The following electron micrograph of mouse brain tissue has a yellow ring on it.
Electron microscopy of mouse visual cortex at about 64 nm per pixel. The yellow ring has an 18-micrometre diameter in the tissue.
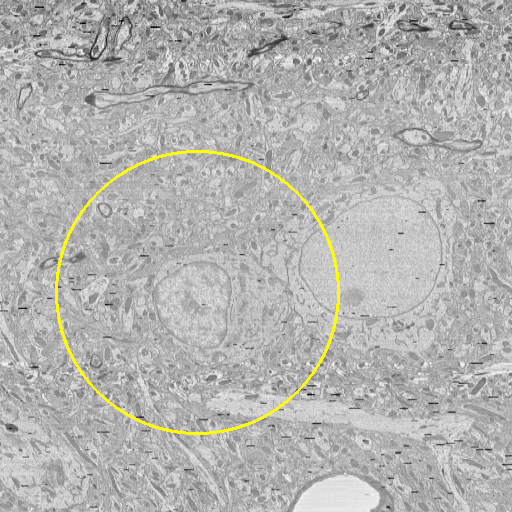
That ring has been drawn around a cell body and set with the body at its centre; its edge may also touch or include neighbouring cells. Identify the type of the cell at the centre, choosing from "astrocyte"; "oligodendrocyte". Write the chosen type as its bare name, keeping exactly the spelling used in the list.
oligodendrocyte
